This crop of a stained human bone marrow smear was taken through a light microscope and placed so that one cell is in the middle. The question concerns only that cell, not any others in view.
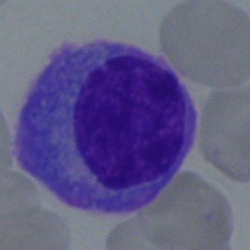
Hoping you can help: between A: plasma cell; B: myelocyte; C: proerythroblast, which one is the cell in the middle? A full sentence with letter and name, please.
Option A is correct, naming the cell in the middle as a plasma cell.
